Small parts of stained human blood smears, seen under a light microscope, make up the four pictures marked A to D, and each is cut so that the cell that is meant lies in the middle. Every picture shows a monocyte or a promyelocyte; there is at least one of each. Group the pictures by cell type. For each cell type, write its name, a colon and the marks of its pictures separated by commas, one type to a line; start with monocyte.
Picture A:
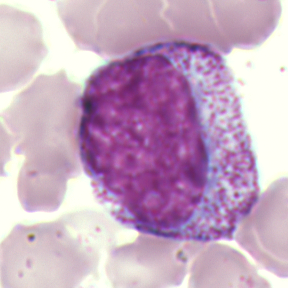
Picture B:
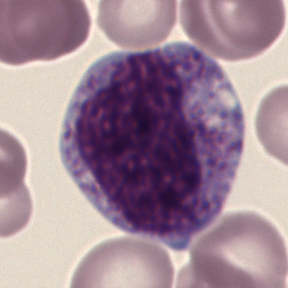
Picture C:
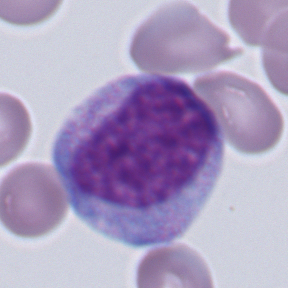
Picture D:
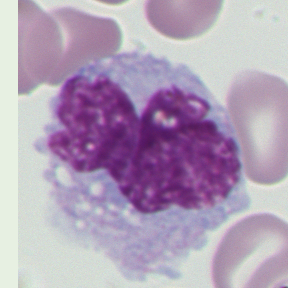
monocyte: D
promyelocyte: A, B, C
